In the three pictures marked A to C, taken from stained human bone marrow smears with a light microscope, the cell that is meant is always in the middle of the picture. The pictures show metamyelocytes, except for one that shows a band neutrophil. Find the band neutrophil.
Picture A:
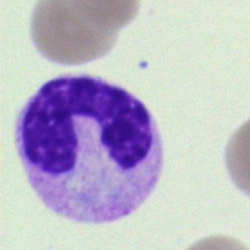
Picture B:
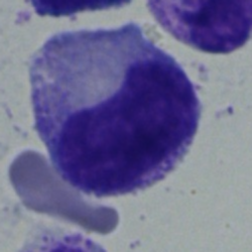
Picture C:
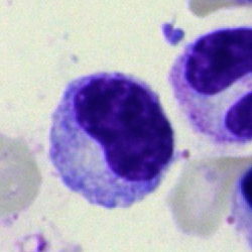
A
